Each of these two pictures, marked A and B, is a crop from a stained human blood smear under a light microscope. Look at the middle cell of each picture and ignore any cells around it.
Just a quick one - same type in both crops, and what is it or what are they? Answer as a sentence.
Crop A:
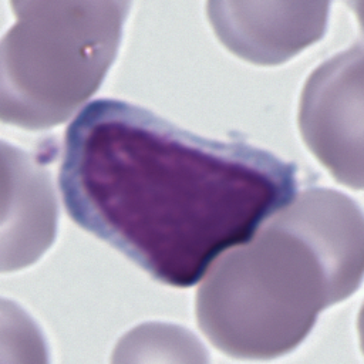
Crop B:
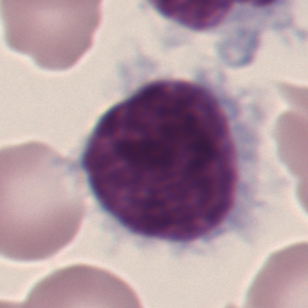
No, crop A displays a typical lymphocyte, and crop B displays a hairy cell.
